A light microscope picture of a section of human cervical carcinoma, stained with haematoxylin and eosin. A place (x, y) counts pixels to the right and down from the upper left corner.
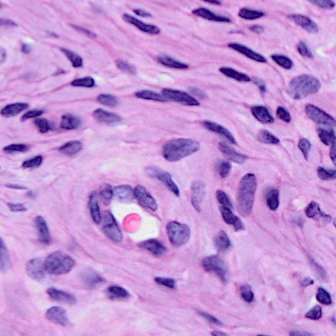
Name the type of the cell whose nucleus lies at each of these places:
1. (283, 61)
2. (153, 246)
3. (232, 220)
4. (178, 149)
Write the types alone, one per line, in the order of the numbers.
fibroblast
endothelial cell
fibroblast
fibroblast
